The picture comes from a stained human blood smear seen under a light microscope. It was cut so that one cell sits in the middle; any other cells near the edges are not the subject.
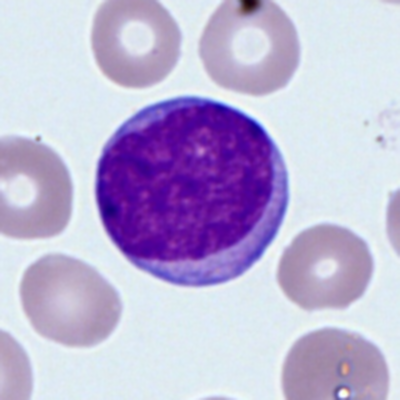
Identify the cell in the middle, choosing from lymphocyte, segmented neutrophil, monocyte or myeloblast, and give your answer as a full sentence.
For this crop, the central cell is a myeloblast.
